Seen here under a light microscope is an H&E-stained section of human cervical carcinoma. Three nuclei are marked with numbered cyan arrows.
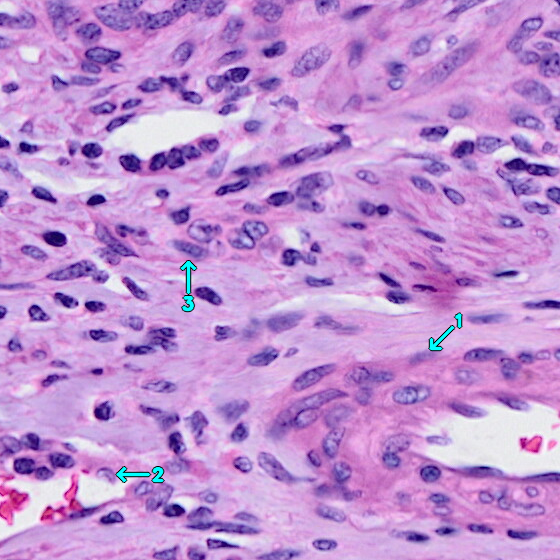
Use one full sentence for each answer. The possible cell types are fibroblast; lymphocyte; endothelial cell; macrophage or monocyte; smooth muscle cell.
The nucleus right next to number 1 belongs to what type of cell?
The nucleus nearest to number 1 is that of a smooth muscle cell.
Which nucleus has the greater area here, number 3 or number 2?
Nucleus 3 is larger, with an area about 2.5 times that of nucleus 2.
